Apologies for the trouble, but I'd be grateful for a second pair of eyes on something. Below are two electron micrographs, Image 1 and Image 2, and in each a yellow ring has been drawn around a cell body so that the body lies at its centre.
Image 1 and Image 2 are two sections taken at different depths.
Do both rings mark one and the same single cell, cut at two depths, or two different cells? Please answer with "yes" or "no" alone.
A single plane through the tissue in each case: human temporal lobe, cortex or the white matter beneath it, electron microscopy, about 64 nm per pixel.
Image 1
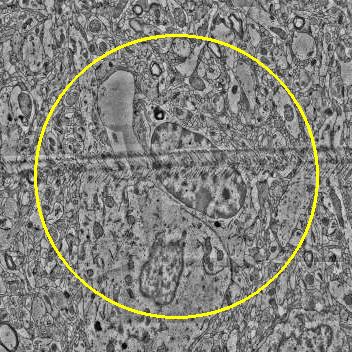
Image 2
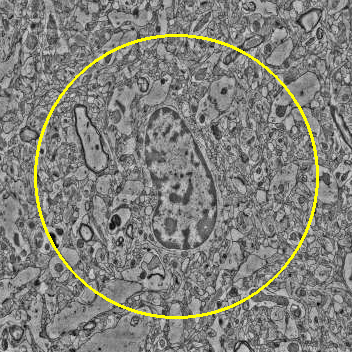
no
